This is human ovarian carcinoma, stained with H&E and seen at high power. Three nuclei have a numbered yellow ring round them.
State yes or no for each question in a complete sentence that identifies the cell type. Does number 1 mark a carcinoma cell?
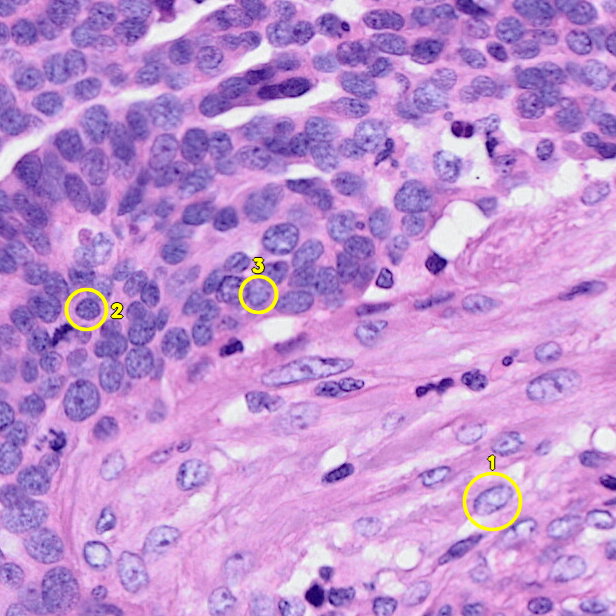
No, a fibroblast, not a carcinoma cell, is the cell with number 1.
